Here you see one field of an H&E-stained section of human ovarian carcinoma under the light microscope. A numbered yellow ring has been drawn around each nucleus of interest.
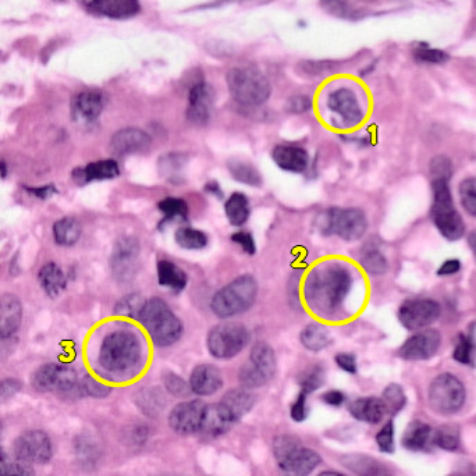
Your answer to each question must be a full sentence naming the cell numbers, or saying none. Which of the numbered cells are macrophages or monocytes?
Cell 1 alone, of all the numbered cells, is a macrophage or monocyte.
